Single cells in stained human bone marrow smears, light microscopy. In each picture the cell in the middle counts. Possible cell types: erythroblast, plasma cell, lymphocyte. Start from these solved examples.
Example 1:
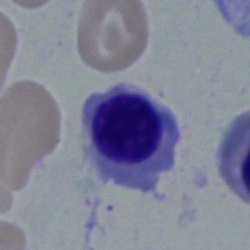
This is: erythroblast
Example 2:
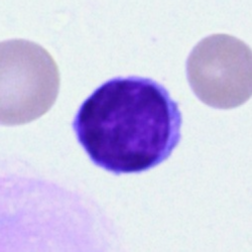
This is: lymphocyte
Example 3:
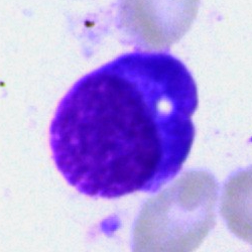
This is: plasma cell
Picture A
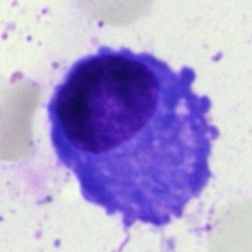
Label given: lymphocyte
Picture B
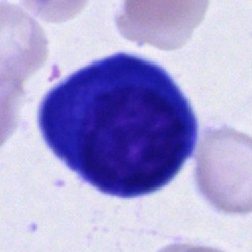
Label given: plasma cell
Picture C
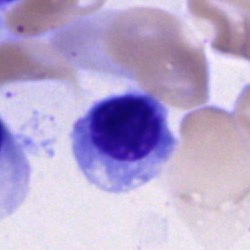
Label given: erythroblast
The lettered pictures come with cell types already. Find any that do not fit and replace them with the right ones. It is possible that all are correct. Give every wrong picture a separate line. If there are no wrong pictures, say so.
A should be plasma cell, not lymphocyte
